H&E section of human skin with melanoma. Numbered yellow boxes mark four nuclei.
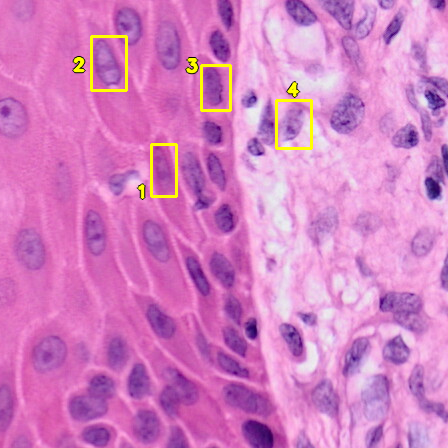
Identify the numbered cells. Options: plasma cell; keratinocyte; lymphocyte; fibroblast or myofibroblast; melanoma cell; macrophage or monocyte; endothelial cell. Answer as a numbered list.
1. keratinocyte
2. keratinocyte
3. keratinocyte
4. fibroblast or myofibroblast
